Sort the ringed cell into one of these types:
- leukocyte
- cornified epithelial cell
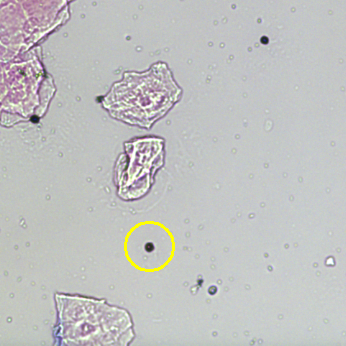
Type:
leukocyte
